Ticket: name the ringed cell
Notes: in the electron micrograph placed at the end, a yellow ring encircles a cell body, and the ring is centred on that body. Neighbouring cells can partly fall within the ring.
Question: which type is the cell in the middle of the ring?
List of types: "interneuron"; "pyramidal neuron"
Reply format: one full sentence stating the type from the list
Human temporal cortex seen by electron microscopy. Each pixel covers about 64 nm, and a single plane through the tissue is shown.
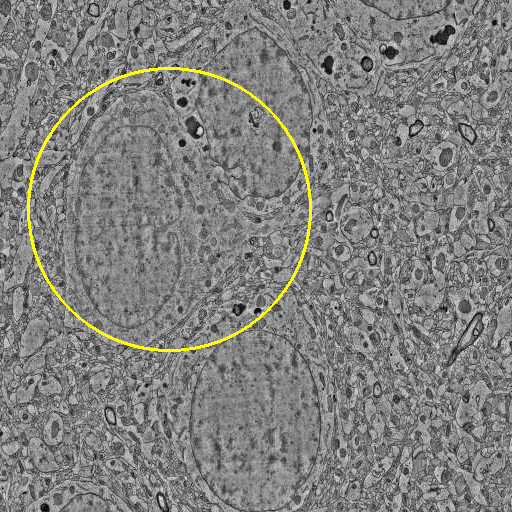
The cell sitting at the centre of the yellow ring is an interneuron.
